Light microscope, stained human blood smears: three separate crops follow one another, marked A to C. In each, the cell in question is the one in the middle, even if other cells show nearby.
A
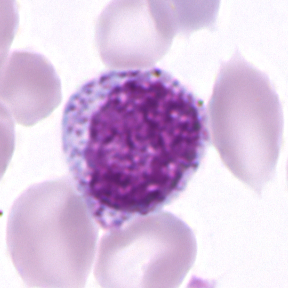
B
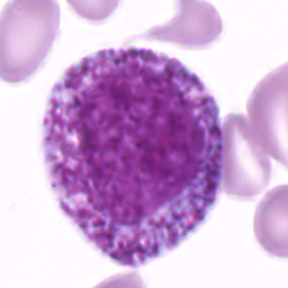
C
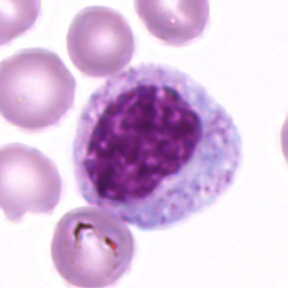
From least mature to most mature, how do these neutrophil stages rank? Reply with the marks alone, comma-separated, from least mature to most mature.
B, A, C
